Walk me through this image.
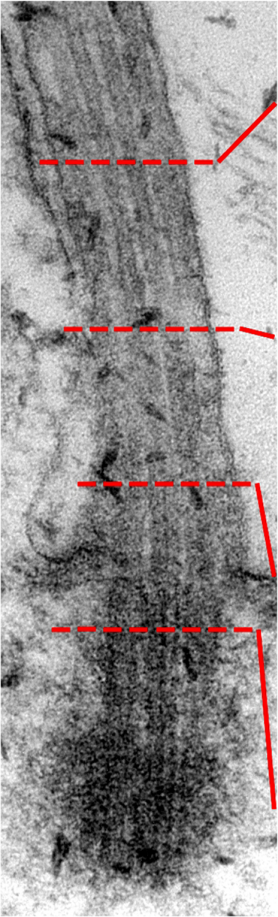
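Fine parallel dark lines run along the length of the shaft, the microtubules of its core. The shaft is narrow and bounded by a thin membrane in its upper part. Toward the bottom it joins a broader, much denser dark region where the cilium is anchored.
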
